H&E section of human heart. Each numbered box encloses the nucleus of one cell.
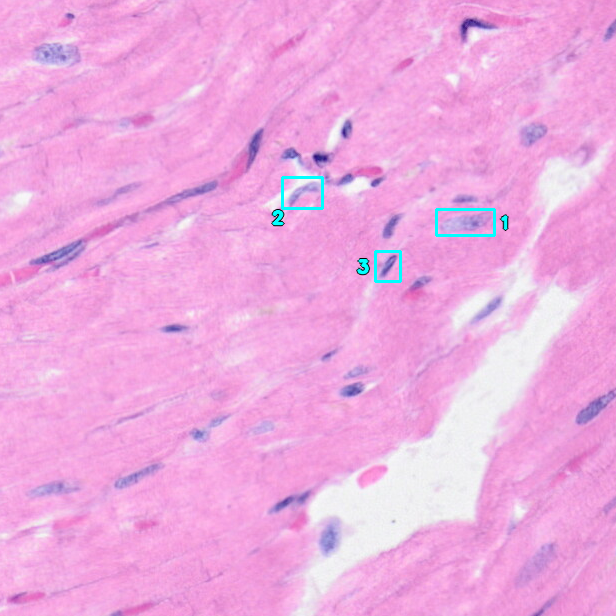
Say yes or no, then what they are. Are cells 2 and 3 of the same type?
No, cell 2 is a fibroblast and cell 3 is an endothelial cell.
